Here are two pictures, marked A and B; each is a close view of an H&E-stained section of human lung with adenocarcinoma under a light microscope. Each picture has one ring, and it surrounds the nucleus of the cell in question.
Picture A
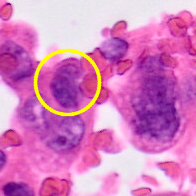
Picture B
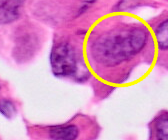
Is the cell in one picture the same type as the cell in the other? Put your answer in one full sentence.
Yes, both cells are carcinoma cells.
